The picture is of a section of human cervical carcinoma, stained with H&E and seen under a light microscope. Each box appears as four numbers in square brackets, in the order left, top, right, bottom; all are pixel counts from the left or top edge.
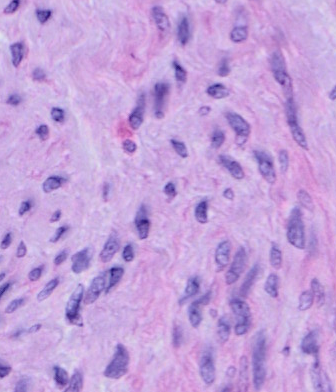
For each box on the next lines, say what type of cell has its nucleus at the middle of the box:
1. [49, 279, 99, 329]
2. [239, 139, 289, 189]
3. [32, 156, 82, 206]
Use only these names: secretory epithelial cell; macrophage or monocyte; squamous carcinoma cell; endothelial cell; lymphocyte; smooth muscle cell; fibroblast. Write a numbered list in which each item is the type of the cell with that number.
1. fibroblast
2. smooth muscle cell
3. fibroblast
